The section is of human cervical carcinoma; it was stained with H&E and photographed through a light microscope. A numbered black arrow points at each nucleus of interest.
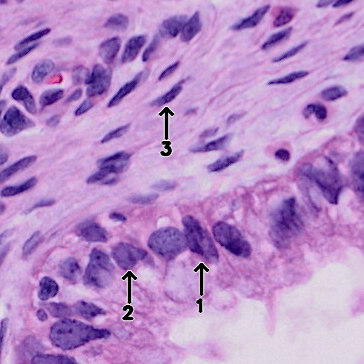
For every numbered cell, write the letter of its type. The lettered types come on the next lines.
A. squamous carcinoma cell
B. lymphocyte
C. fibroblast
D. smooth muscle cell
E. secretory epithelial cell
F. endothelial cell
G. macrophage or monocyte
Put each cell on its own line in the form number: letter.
1: E
2: E
3: C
